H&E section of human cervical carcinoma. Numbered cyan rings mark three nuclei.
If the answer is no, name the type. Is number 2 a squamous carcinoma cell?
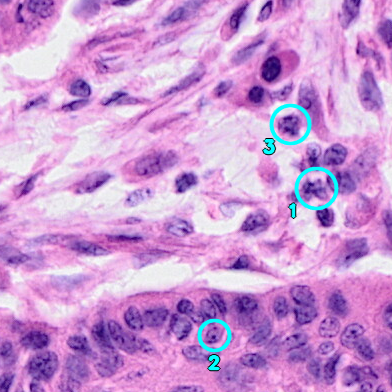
Yes.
